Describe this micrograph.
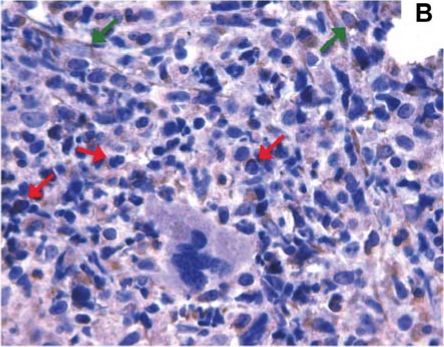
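Cellular bone marrow with a large central megakaryocyte with a lobulated blue nucleus and pale unstained cytoplasm. Around it lie densely packed small cells with round to irregular dark blue nuclei, most without brown stain. A few scattered cells and some elongated spindle-shaped cells show faint brown cytoplasm.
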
